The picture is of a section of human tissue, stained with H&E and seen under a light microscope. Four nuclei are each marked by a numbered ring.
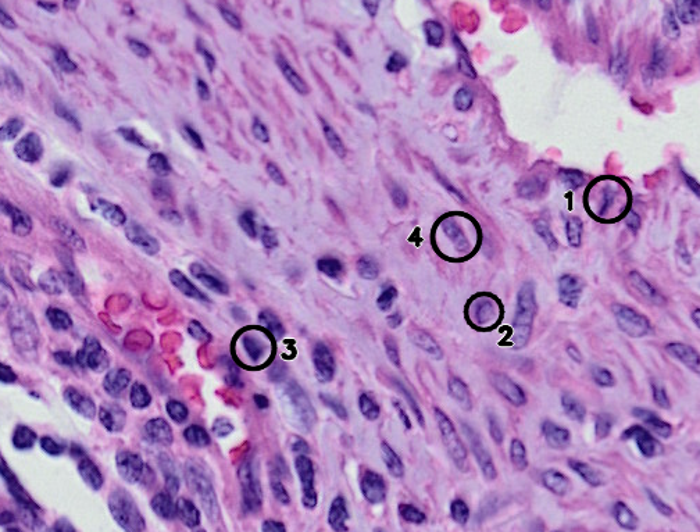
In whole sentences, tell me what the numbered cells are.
Cell 1 is an endothelial cell, cell 2 is a smooth muscle cell, cell 3 is a lymphocyte and cell 4 is a smooth muscle cell.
